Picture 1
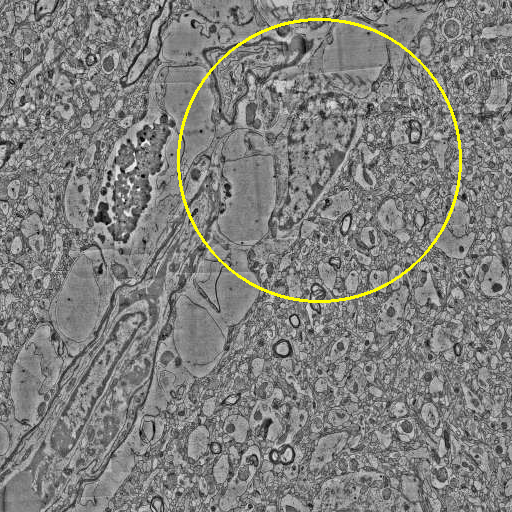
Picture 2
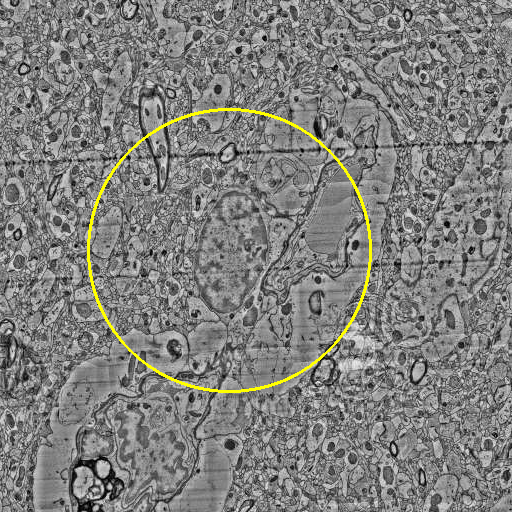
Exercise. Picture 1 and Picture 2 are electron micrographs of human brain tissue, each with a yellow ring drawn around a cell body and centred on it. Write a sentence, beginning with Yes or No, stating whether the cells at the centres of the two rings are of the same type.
No, the cells at the centres of the rings are of two types.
